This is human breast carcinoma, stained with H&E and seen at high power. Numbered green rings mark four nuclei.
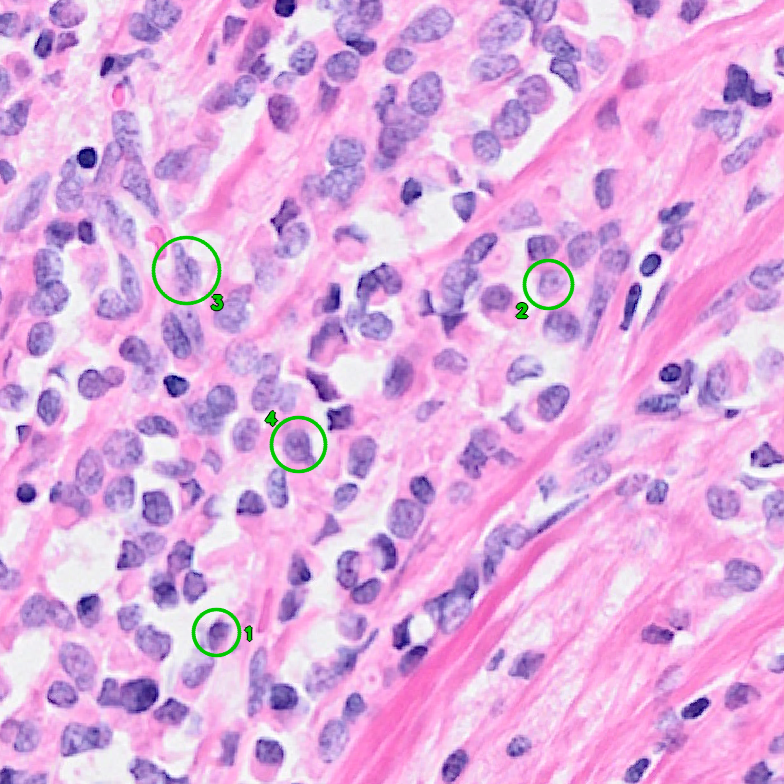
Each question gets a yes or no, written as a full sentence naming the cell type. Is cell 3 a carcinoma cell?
No, cell 3 is not a carcinoma cell; it is an endothelial cell.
